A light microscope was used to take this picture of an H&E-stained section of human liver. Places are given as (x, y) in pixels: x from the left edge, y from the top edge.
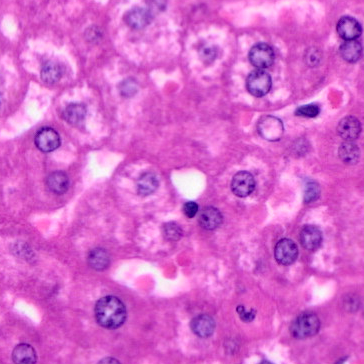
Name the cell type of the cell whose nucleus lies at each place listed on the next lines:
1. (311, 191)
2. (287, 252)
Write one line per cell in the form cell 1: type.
cell 1: endothelial cell
cell 2: hepatocyte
